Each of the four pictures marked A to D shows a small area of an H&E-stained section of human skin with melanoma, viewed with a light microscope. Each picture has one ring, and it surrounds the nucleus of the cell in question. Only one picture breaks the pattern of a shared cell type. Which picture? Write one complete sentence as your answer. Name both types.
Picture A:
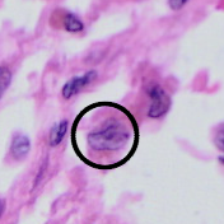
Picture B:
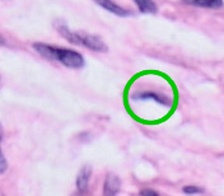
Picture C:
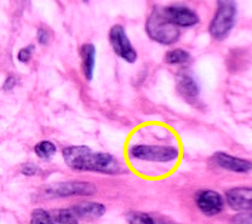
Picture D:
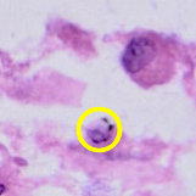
Unlike the rest, which show “macrophages or monocytes”, picture B shows a “fibroblast or myofibroblast”.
